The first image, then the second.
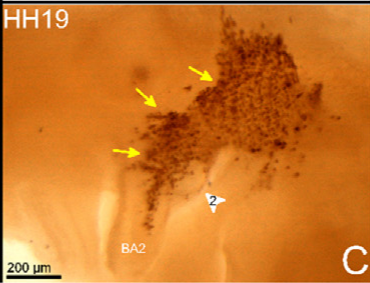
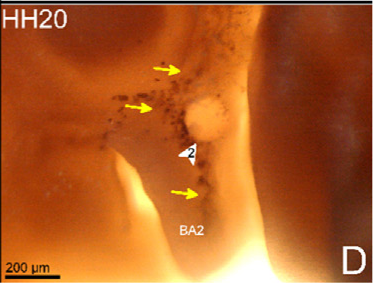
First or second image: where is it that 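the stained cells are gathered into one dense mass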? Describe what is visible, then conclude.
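The first image. Second image: brown-stained dots are sparse and scattered in small groups. First image: brown-stained dots are packed into a large, dense cluster.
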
